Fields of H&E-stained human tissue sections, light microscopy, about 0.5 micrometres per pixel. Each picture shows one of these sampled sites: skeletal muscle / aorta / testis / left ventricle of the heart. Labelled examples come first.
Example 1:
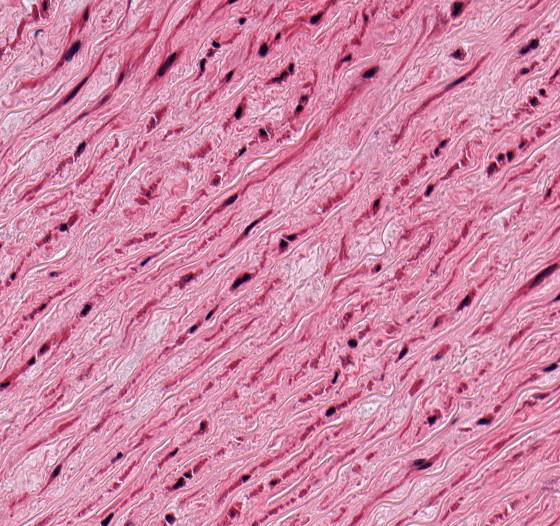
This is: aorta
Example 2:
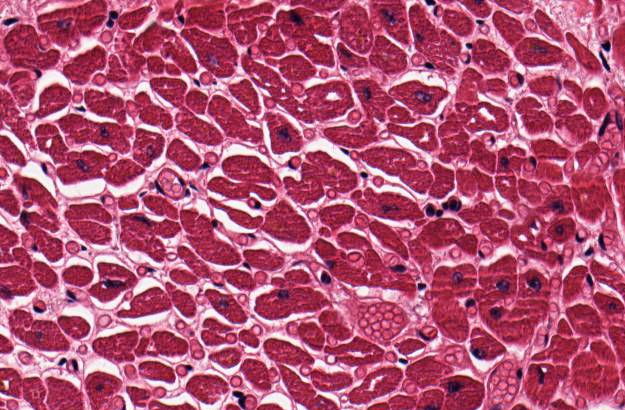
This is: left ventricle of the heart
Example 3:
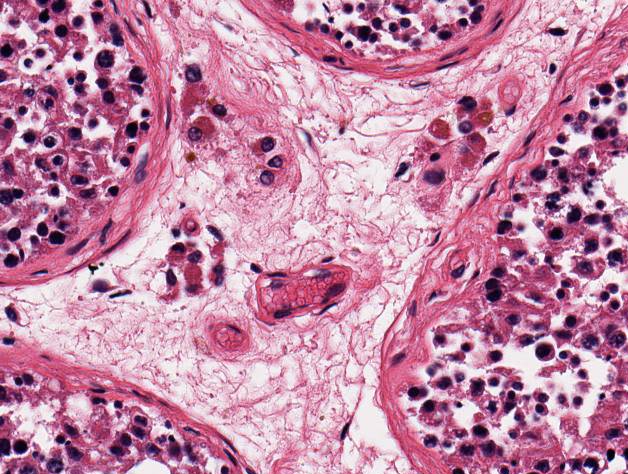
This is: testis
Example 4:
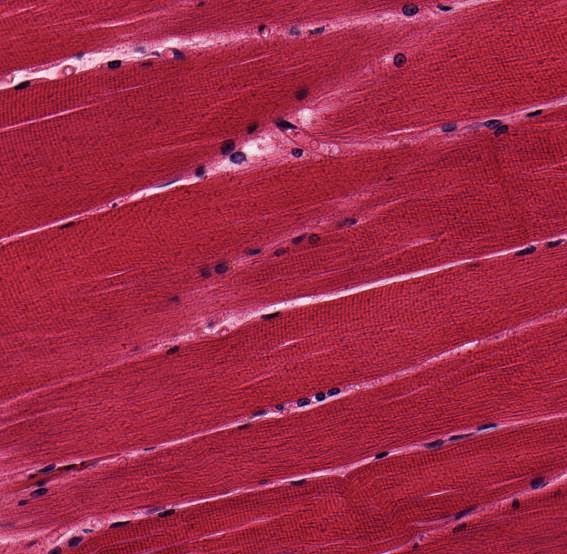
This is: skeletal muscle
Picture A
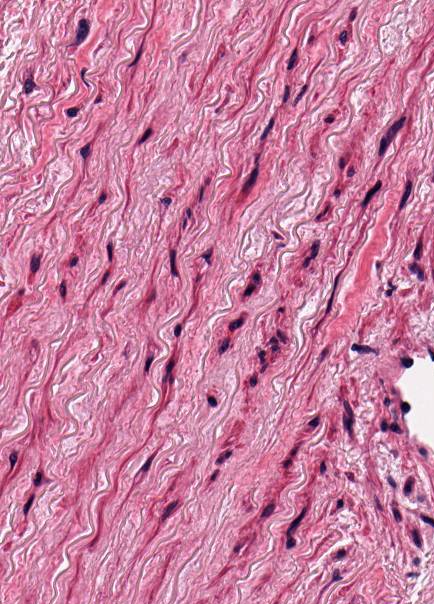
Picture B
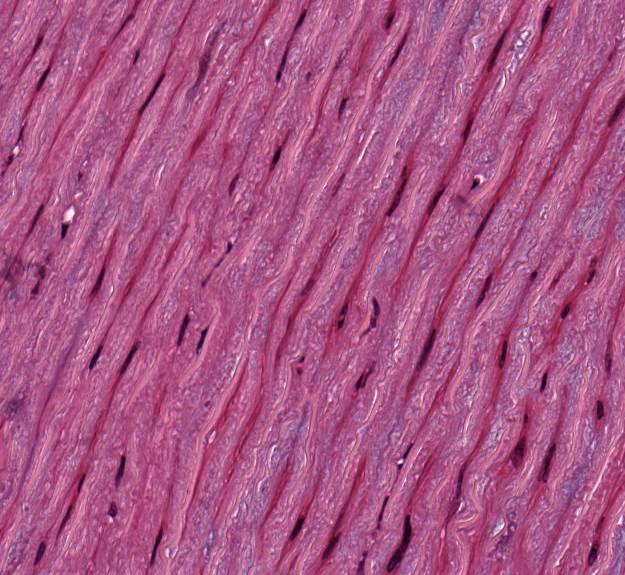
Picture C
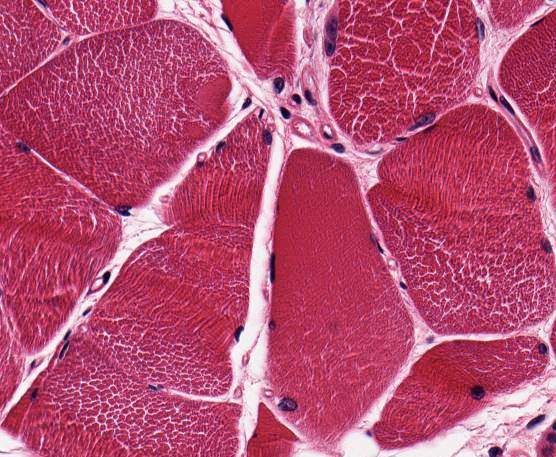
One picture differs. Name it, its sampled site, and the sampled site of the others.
Exception: C, showing skeletal muscle. Remaining pictures: aorta.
